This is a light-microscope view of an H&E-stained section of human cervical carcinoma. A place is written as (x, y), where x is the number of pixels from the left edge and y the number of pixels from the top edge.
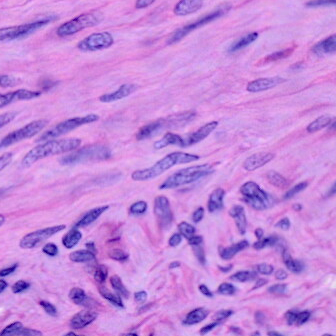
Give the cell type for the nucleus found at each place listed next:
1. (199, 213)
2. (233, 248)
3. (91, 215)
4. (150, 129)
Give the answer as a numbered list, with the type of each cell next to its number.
1. smooth muscle cell
2. smooth muscle cell
3. fibroblast
4. smooth muscle cell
